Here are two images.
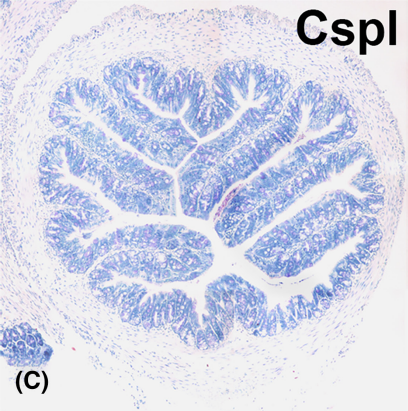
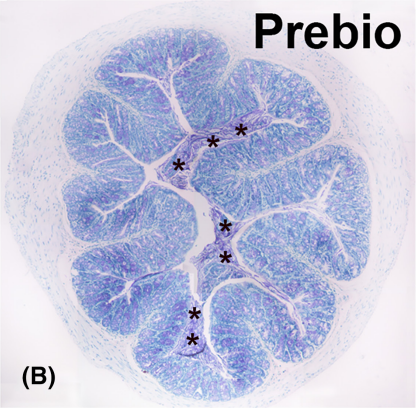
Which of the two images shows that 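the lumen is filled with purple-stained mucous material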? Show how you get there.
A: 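First image: the central lumen is largely empty and white. Second image: purple amorphous material fills parts of the central lumen.
Answer: the second image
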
